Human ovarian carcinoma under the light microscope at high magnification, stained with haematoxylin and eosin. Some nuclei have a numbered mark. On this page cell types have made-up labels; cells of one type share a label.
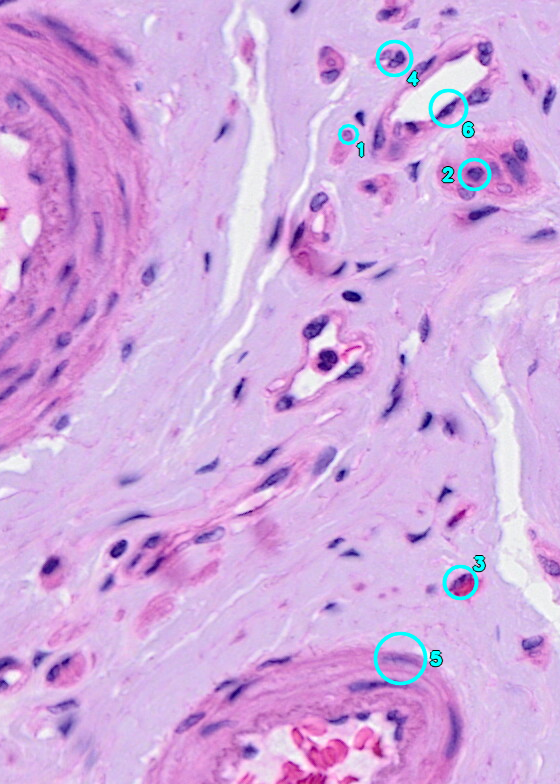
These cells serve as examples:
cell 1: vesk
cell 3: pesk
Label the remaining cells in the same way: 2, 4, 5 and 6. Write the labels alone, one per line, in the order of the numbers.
vesk
pesk
vesk
pesk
